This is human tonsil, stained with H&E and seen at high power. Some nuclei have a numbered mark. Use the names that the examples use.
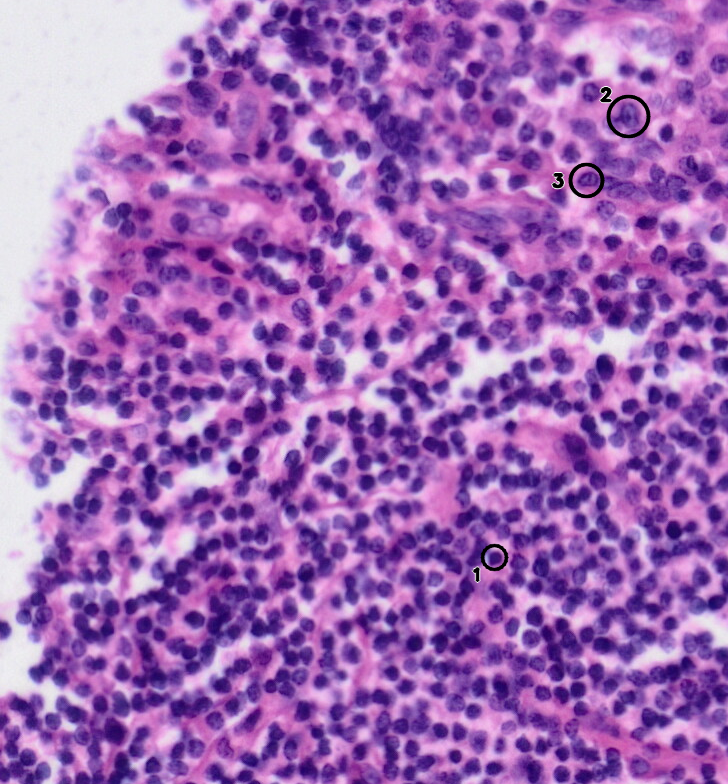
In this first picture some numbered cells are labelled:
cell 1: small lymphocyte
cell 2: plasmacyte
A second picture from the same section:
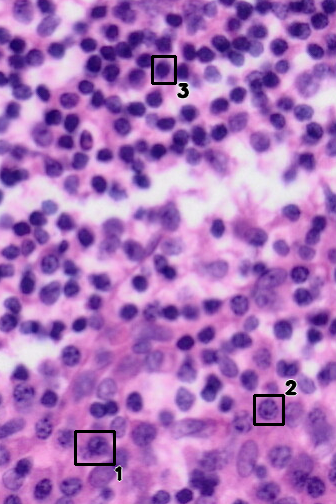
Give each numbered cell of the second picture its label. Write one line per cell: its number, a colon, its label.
1: plasmacyte
2: plasmacyte
3: small lymphocyte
